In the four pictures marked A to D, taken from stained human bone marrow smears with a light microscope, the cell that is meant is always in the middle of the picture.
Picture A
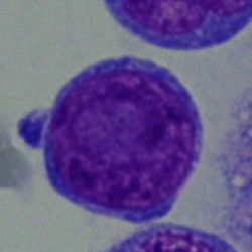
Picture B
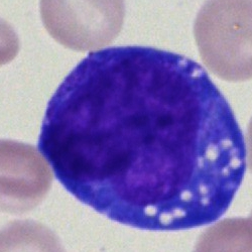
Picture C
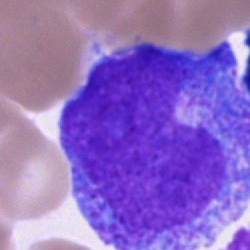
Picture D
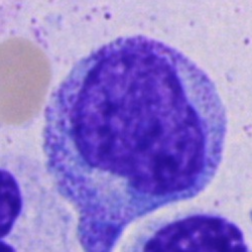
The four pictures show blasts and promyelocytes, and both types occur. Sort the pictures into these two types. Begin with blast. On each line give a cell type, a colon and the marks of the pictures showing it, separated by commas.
blast: A, B
promyelocyte: C, D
